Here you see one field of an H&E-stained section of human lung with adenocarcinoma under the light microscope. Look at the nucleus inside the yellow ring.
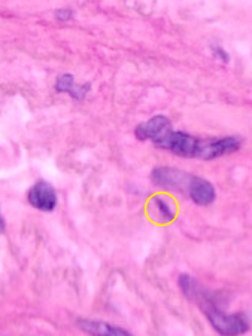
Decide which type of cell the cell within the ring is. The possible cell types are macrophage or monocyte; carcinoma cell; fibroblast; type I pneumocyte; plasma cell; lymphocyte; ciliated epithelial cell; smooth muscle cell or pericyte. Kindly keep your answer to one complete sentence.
In cellular terms, the cell within the ring is a smooth muscle cell or pericyte.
